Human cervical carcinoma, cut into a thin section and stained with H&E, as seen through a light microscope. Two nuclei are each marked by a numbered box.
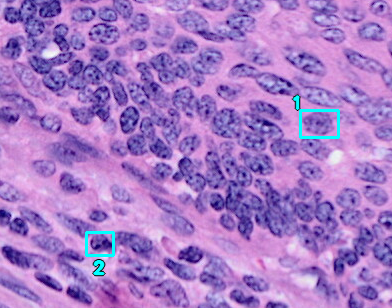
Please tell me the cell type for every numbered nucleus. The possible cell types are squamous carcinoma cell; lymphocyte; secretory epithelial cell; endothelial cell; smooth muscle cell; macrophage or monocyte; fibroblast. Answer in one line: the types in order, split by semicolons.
squamous carcinoma cell; lymphocyte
